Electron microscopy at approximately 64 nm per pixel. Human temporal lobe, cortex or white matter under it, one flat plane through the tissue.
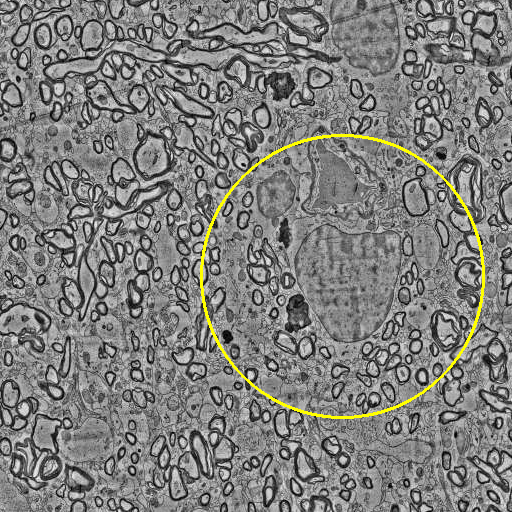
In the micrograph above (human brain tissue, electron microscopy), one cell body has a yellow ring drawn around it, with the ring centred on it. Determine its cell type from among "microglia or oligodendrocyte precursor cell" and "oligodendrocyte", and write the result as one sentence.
The cell whose body is ringed is a microglial cell or oligodendrocyte precursor cell.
